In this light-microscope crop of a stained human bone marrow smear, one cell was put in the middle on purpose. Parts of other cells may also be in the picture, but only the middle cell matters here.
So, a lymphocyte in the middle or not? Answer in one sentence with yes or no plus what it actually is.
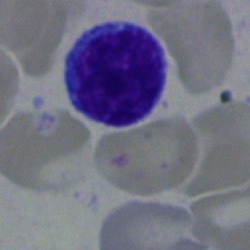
Yes, the central cell here is a lymphocyte.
